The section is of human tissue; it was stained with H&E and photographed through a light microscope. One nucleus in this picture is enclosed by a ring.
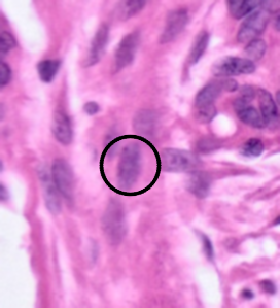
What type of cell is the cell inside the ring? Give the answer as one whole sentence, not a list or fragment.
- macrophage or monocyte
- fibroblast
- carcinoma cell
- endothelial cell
In the tissue at hand, the cell inside the ring is a fibroblast.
